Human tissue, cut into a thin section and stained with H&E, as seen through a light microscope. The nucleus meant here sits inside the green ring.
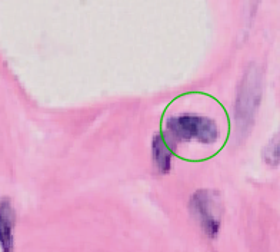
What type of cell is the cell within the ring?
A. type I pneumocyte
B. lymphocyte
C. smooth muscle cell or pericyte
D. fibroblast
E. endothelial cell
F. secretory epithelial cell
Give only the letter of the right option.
B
